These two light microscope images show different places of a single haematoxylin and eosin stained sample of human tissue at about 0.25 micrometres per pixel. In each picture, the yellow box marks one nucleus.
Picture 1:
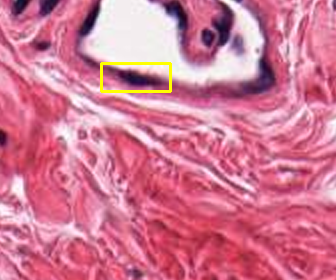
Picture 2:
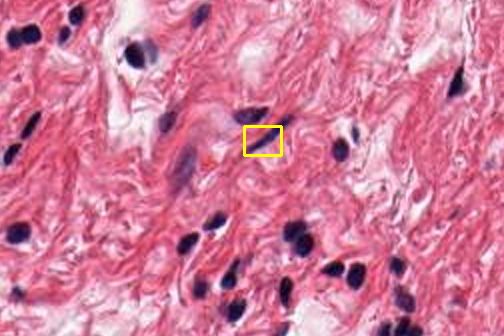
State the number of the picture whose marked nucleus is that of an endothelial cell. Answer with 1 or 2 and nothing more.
1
